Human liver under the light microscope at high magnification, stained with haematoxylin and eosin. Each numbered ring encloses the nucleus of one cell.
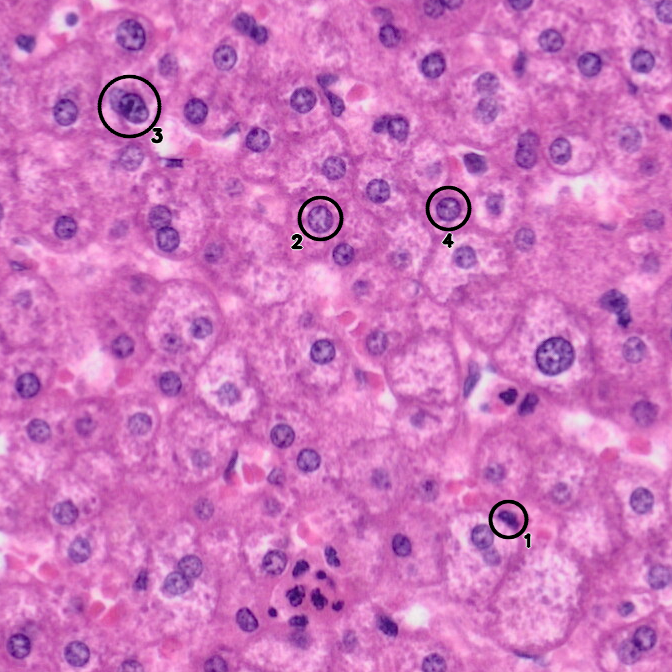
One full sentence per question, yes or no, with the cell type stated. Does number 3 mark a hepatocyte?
Yes, what number 3 marks is a hepatocyte.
